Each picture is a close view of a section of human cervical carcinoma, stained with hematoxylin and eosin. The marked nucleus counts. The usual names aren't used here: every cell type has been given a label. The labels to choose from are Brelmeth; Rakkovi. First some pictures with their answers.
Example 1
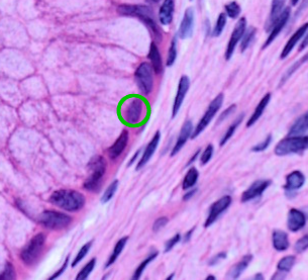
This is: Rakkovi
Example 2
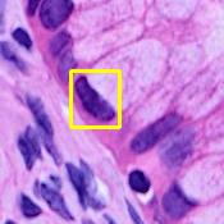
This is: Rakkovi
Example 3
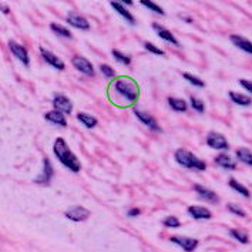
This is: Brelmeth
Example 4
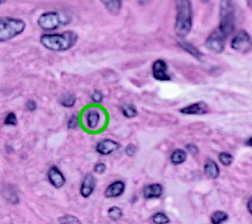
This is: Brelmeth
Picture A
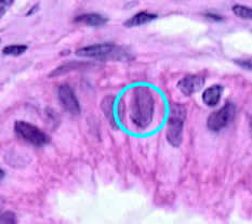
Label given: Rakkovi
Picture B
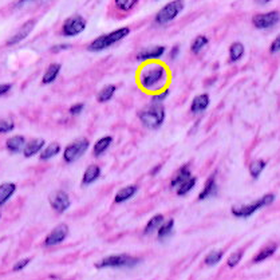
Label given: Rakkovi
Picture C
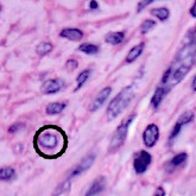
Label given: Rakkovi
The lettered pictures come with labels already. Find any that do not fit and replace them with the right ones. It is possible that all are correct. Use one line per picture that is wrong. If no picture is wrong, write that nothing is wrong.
B: Brelmeth, not Rakkovi
C: Brelmeth, not Rakkovi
